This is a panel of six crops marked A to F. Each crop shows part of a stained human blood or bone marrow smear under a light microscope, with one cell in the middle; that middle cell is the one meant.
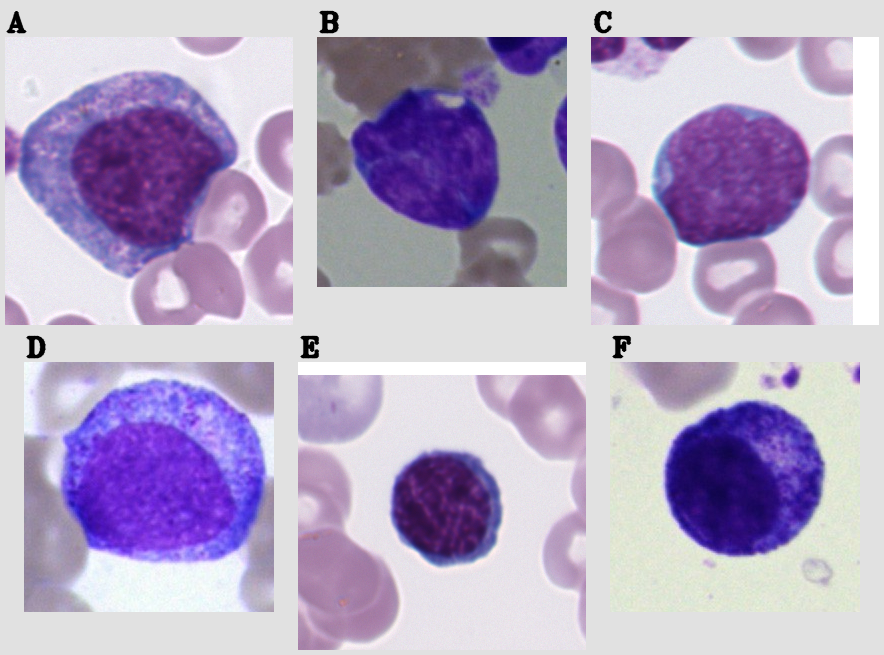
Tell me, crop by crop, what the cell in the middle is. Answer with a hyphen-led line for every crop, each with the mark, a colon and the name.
- A: promyelocyte
- B: blast
- C: blast
- D: promyelocyte
- E: normoblast
- F: promyelocyte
